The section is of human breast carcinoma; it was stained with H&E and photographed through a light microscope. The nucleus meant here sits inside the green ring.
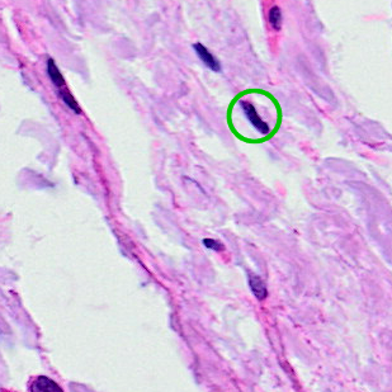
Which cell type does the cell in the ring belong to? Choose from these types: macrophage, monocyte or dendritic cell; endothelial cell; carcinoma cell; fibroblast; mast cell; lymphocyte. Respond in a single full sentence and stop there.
As a matter of cell type, the cell in the ring is a fibroblast.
